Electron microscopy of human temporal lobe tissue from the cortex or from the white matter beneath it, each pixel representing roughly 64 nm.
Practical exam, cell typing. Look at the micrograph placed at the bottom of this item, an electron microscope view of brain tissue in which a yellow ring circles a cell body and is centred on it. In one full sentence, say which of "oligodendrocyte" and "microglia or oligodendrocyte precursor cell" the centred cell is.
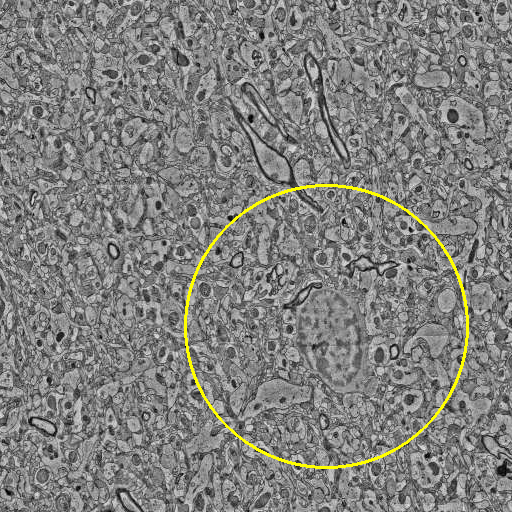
Given the options, an oligodendrocyte fits the cell whose body the yellow ring is centred on.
